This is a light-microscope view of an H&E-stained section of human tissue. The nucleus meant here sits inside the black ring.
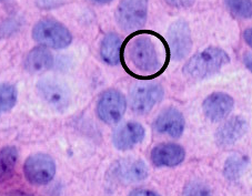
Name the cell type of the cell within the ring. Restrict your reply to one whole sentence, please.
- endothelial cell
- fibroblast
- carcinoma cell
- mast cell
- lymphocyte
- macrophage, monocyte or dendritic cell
Recorded by type, the cell within the ring is a carcinoma cell.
